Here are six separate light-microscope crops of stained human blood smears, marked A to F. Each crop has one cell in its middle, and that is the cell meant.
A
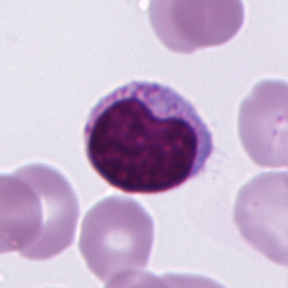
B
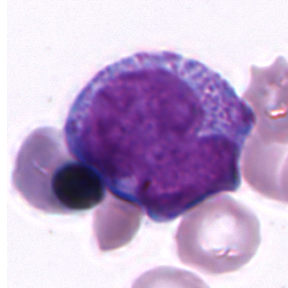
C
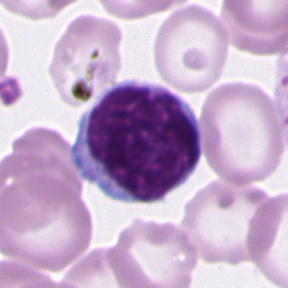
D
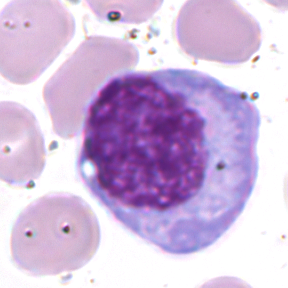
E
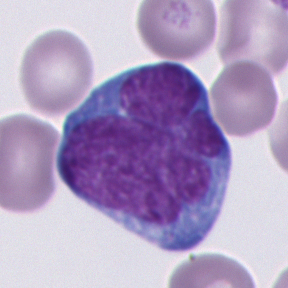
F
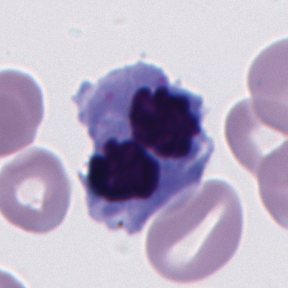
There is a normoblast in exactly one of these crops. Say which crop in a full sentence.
Of the crops given, a normoblast is found in crop F.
